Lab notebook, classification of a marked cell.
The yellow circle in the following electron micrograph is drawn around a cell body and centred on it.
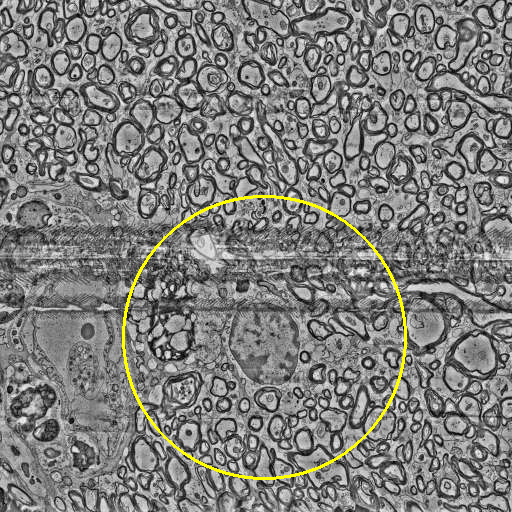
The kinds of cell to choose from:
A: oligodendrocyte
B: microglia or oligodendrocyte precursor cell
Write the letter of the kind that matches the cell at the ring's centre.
B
